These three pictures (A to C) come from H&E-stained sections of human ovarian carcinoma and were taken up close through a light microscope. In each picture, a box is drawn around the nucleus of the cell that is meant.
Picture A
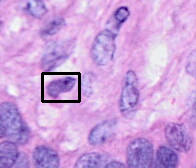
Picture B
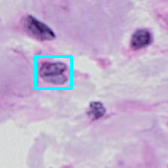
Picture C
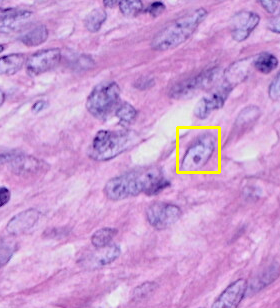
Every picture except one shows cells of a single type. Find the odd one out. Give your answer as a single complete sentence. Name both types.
Picture C differs, because its cell is a fibroblast and the rest are “macrophages or monocytes”.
